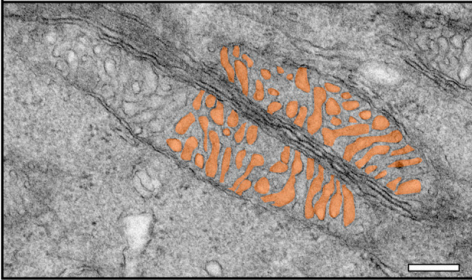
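Two long, spindle-shaped organelles lie parallel and close together, separated by a few dark stacked membranes, within finely granular cytoplasm. Each is packed with short orange bars that run across its width.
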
